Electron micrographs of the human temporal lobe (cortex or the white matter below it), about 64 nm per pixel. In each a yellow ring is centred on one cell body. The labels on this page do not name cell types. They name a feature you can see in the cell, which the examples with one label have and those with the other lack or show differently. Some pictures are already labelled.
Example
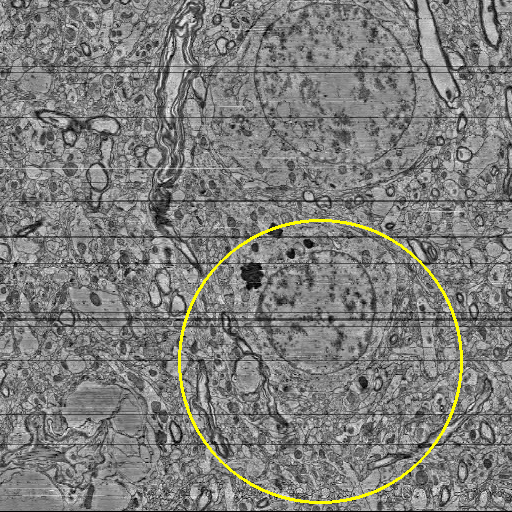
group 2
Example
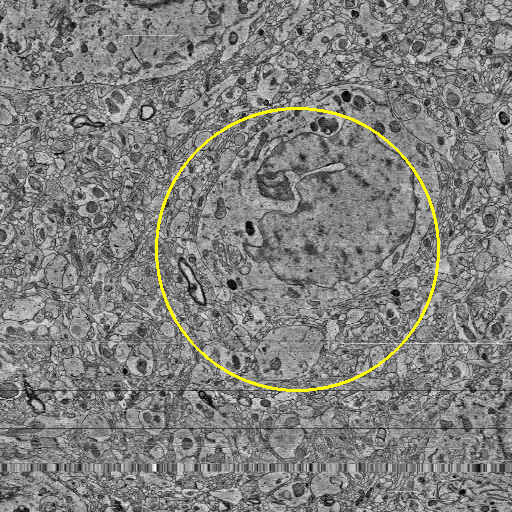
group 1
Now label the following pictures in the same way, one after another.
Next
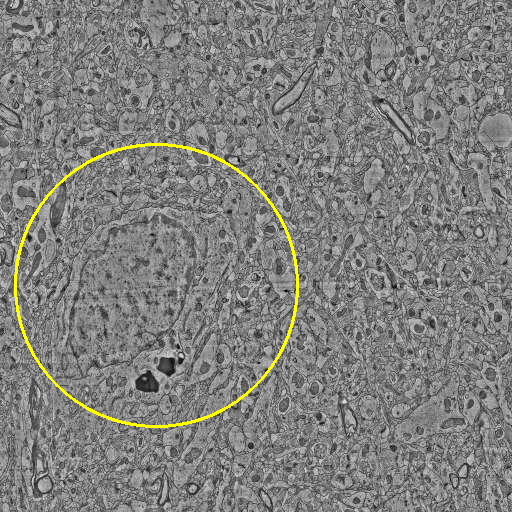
group 2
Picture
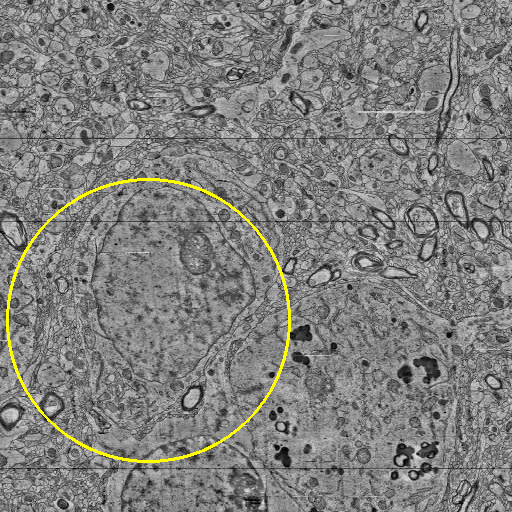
group 2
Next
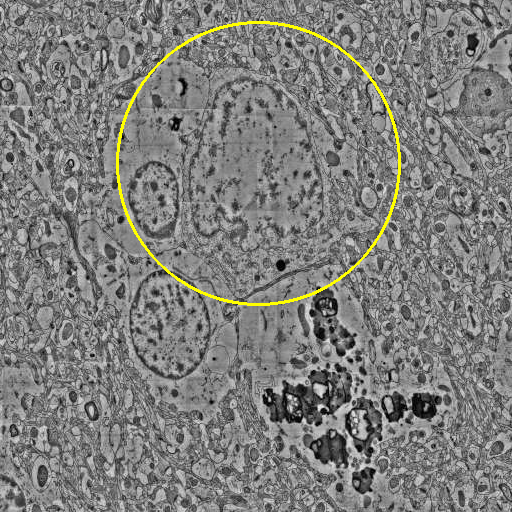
group 1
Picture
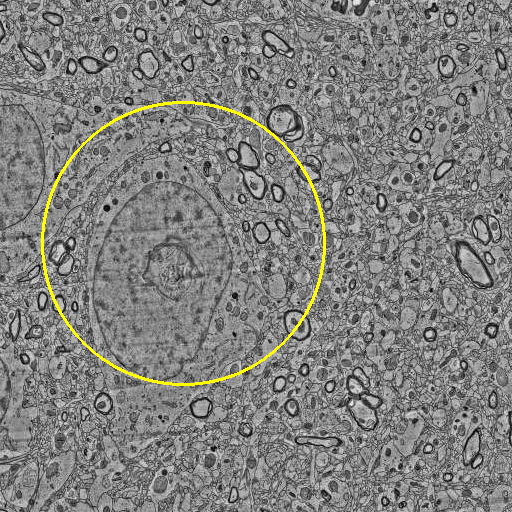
group 2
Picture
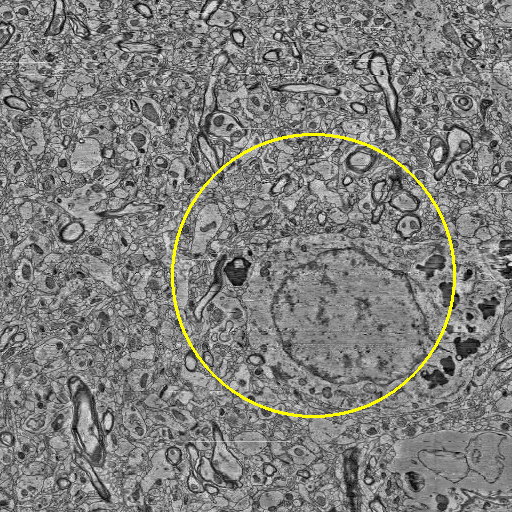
group 2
